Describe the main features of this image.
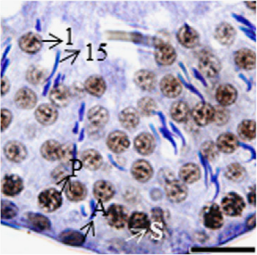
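This is a stretch of seminiferous epithelium with germ cells layered from the basal edge at the bottom toward the lumen at the top. Along the base lies a row of small dark nuclei, some flattened against the edge, and above them sit large round nuclei with coarse thread-like chromatin, the spermatocytes. Higher up, many smaller round nuclei of spermatids fill the epithelium, and their nuclei take a brown stain. Slender dark blue elongated spermatid heads run in bundles through these layers, pointing toward the base.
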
